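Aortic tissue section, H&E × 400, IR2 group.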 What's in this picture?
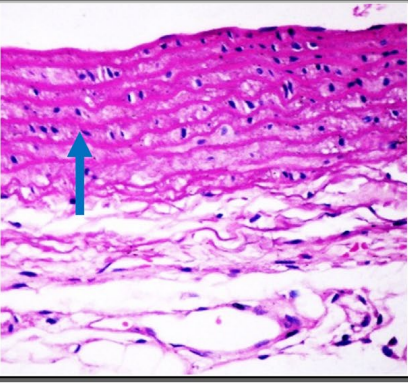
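The media is made of many parallel, wavy pink elastic bands with scattered elongated dark nuclei between them. Between the bands there are pale, loose, faintly stained spaces, giving a sign of mild edema. Below, the outer wall is loose connective tissue with scattered nuclei and a small vessel.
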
